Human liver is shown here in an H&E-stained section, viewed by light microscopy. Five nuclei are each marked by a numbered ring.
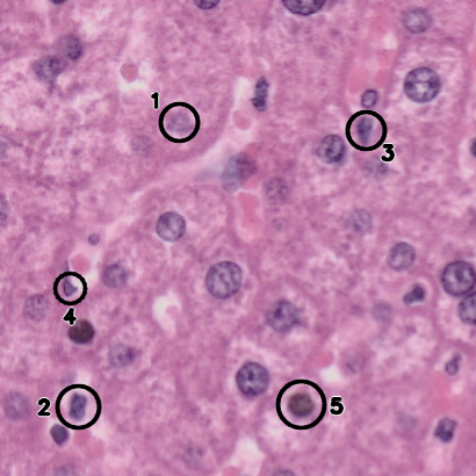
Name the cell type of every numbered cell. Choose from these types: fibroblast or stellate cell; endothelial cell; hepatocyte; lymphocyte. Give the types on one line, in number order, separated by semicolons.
hepatocyte; lymphocyte; fibroblast or stellate cell; endothelial cell; hepatocyte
